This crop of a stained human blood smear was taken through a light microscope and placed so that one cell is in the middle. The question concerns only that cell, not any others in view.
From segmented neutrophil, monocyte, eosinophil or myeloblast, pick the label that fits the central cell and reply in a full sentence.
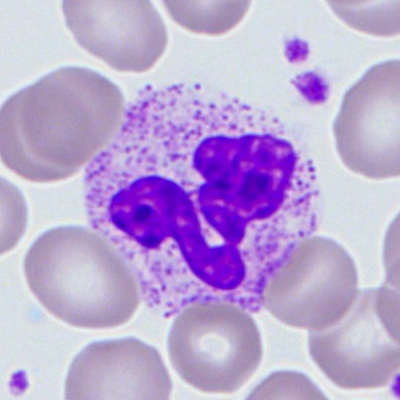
On this slide crop, the central cell is a segmented neutrophil.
